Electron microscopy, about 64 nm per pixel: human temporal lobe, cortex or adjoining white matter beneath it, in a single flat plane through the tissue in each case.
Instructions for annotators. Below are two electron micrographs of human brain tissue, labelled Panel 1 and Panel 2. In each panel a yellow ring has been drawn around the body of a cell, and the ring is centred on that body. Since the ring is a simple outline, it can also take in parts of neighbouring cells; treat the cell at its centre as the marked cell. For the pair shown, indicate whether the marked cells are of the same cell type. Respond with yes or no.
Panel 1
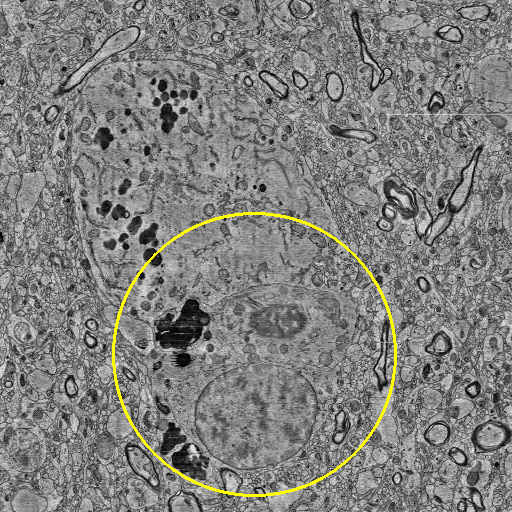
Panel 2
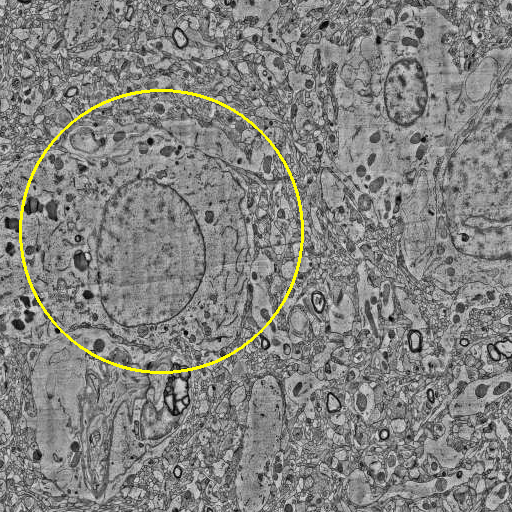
no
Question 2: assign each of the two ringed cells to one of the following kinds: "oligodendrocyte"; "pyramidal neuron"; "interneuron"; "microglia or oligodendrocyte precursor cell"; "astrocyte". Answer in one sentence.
The two cells are an oligodendrocyte in the first picture and a pyramidal neuron in the second.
